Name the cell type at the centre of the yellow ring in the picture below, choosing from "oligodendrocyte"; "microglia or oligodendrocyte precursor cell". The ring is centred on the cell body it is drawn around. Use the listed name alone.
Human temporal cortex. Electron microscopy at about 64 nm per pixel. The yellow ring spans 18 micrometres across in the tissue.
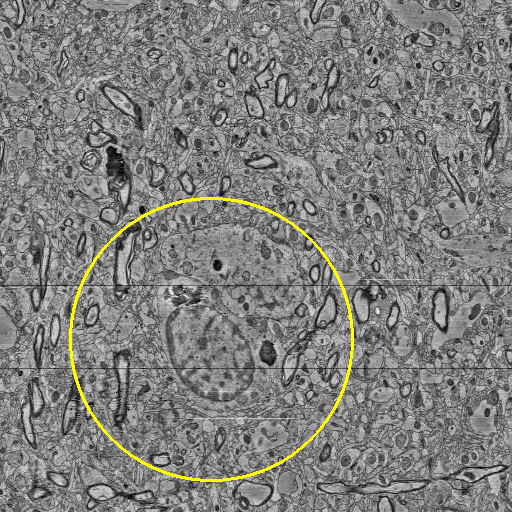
oligodendrocyte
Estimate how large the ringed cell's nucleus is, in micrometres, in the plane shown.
Roughly 7 by 5 micrometres is the size of the nucleus in this plane.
